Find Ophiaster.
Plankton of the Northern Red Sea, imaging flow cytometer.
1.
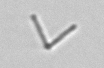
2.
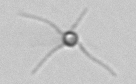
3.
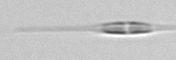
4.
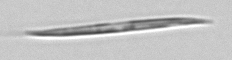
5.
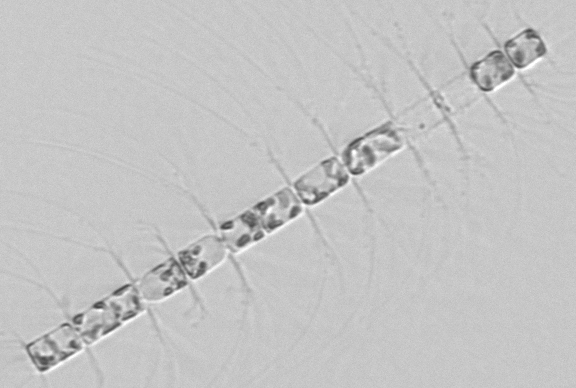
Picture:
2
